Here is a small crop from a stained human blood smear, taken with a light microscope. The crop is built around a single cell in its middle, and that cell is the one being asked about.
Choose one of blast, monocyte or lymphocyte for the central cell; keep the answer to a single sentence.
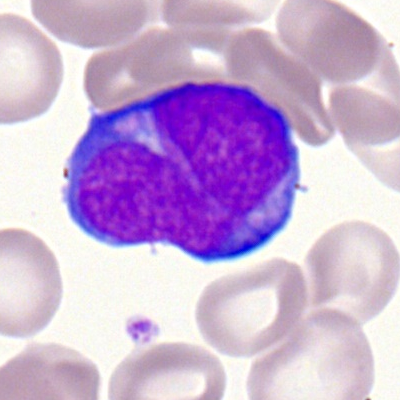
The middle cell in this particular crop is a blast.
